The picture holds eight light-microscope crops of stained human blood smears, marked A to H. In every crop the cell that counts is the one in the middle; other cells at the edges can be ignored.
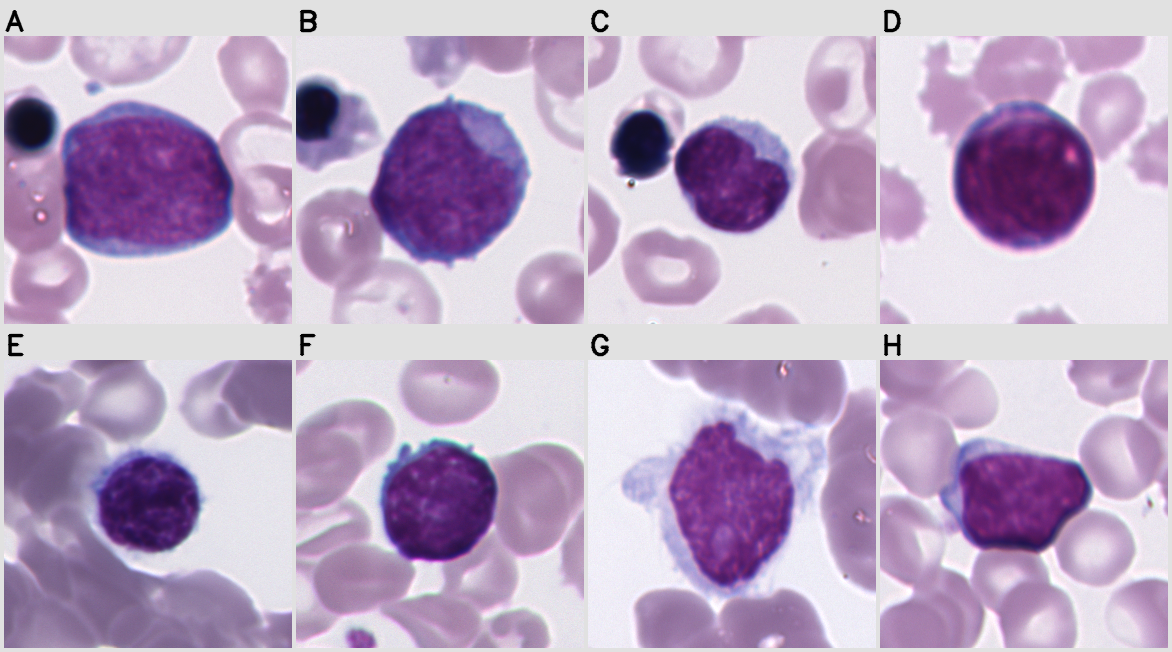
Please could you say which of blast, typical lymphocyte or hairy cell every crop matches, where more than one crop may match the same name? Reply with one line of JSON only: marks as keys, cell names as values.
{"A": "blast", "B": "blast", "C": "typical lymphocyte", "D": "blast", "E": "hairy cell", "F": "typical lymphocyte", "G": "hairy cell", "H": "typical lymphocyte"}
